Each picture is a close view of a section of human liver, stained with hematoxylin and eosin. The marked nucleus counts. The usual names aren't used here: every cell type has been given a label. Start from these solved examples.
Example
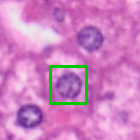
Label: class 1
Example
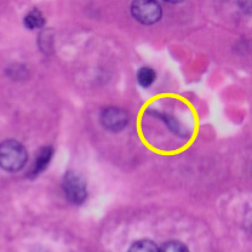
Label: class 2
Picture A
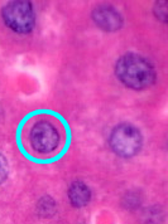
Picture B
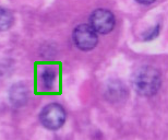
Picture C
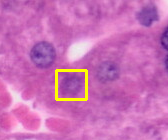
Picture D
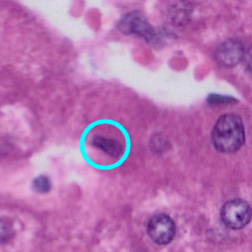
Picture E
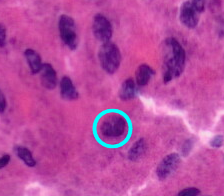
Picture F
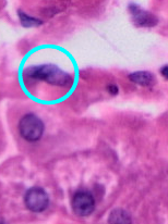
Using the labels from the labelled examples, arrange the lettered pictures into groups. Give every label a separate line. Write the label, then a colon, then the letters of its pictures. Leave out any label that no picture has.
class 1: A, C, E
class 2: B, D, F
